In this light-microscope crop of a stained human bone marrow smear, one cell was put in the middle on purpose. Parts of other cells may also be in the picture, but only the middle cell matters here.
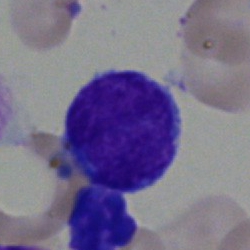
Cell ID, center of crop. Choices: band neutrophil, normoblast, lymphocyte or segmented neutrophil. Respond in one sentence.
What the crop centres on is a lymphocyte.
